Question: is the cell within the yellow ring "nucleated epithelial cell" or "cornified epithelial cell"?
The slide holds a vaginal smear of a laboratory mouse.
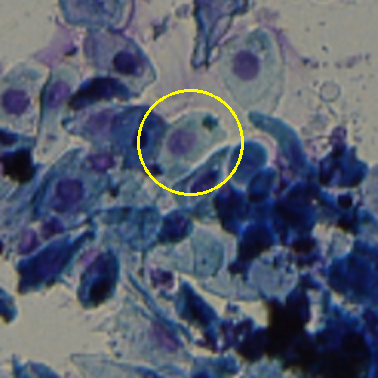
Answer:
nucleated epithelial cell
